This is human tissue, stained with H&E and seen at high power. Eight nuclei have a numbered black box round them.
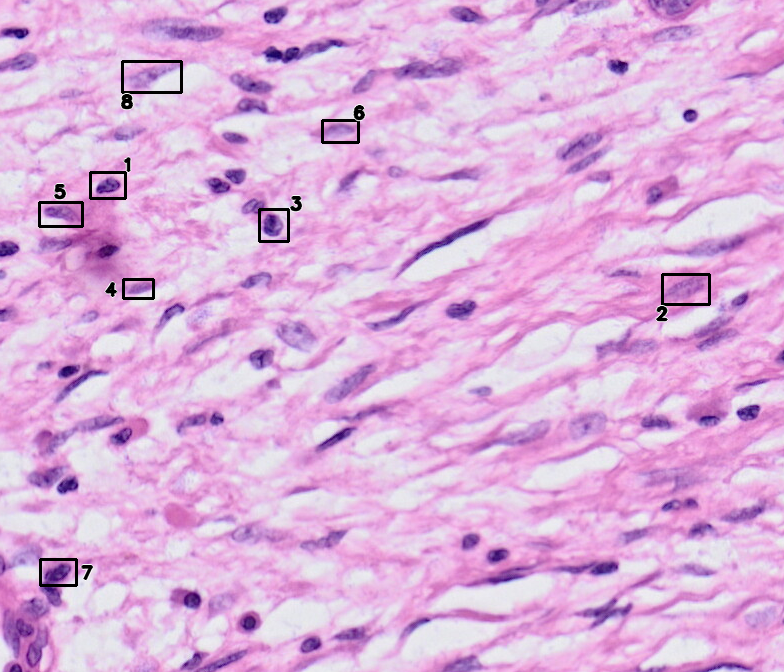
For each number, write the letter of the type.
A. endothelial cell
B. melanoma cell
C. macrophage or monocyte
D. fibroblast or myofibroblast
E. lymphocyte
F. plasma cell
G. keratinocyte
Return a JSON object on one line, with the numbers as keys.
{"1": "E", "2": "D", "3": "E", "4": "D", "5": "D", "6": "D", "7": "C", "8": "D"}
